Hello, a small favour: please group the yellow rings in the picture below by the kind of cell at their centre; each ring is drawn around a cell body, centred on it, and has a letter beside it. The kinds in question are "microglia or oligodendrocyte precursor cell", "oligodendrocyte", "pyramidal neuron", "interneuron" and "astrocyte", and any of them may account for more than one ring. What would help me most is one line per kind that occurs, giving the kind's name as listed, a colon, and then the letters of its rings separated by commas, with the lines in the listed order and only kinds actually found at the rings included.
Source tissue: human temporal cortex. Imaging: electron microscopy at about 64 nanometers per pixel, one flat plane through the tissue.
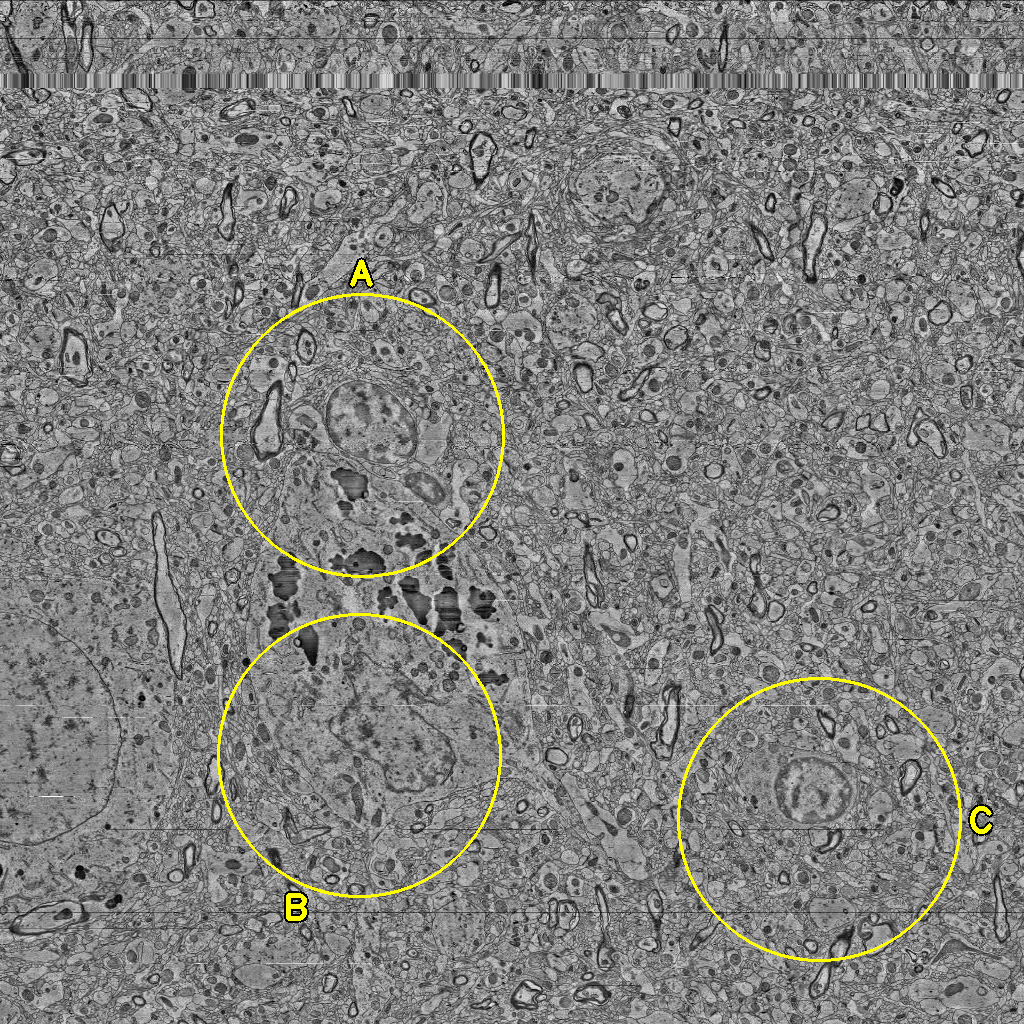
microglia or oligodendrocyte precursor cell: A
oligodendrocyte: C
interneuron: B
